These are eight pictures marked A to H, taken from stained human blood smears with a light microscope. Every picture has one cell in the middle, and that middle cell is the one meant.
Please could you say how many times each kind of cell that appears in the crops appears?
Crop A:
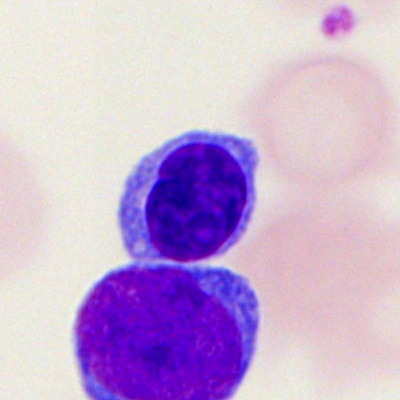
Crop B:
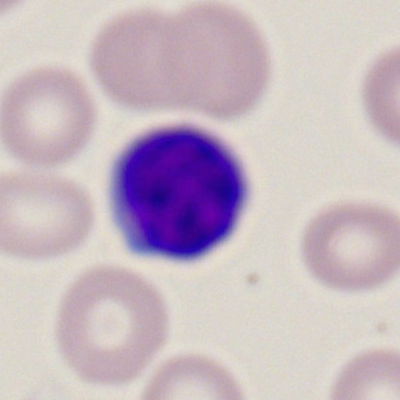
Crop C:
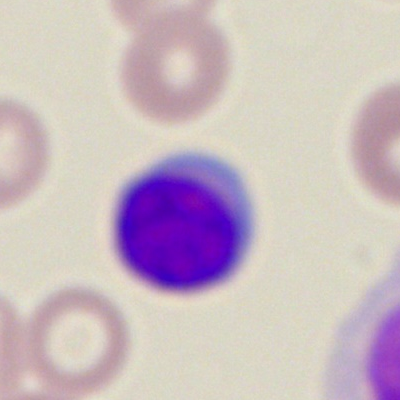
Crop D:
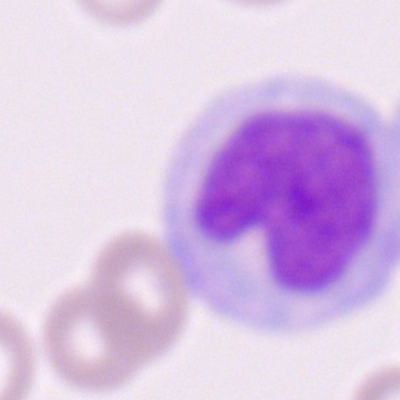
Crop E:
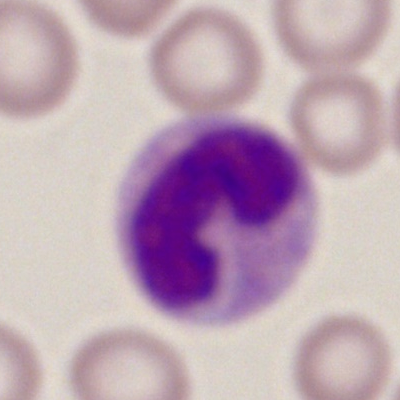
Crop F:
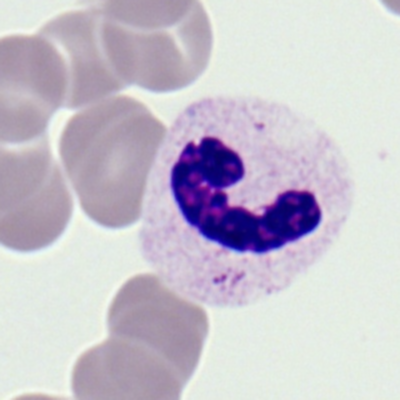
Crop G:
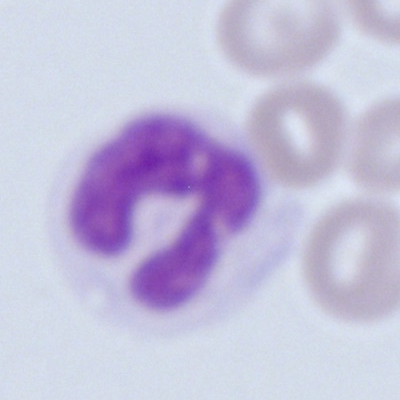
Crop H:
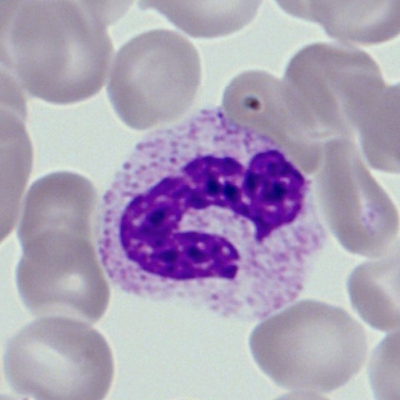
lymphocyte: 3
band neutrophil: 3
monocyte: 2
